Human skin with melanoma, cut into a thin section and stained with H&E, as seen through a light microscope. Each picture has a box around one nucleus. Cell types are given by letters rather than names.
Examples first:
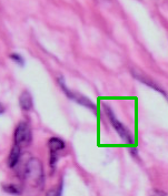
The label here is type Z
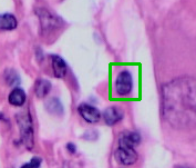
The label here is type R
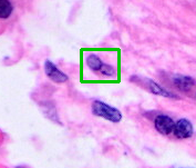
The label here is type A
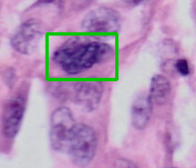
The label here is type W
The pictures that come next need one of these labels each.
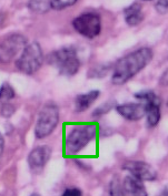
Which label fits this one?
type W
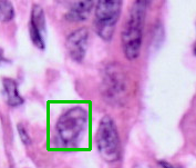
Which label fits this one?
type W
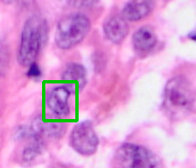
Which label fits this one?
type W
